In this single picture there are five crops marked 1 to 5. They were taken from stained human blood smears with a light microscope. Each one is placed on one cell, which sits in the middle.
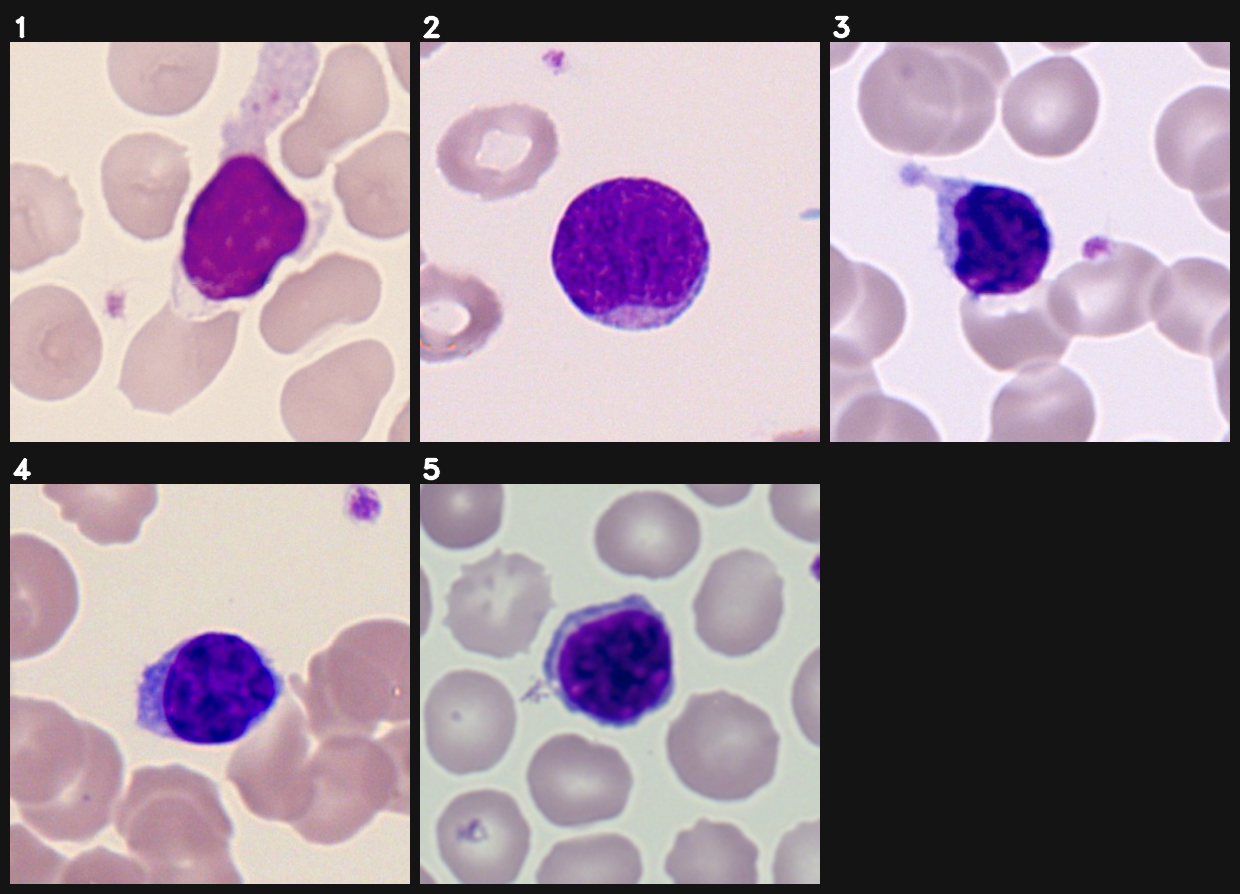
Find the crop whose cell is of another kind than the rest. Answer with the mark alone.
2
